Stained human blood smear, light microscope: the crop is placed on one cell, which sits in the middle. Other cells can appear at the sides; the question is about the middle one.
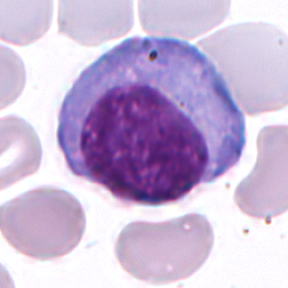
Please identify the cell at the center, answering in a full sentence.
The central element of this crop is a cell, namely a plasma cell.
